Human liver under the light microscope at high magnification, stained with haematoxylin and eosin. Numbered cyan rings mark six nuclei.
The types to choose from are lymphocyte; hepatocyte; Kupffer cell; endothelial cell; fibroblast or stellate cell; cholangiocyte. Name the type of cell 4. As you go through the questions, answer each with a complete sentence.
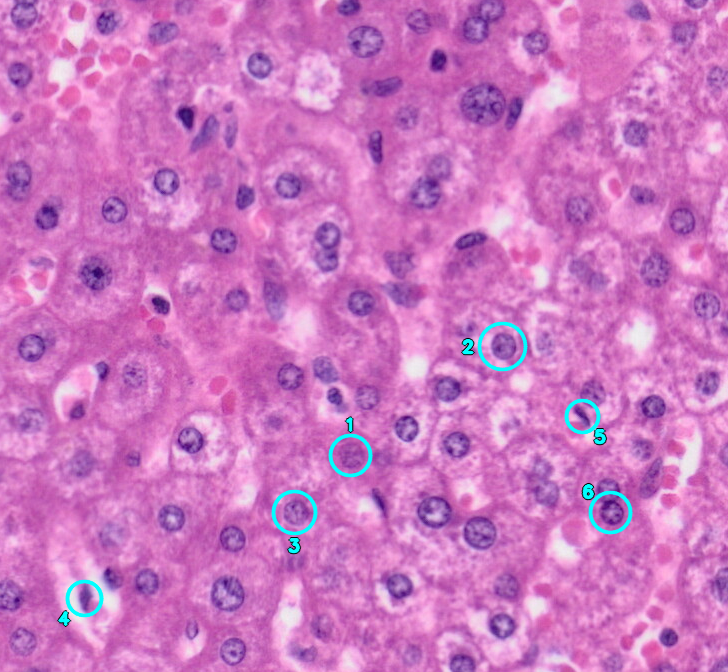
The cell indicated with the number 4 is classed as a Kupffer cell.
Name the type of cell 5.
The cell given label 5 is an endothelial cell.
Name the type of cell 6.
In the tissue shown, cell 6 is a hepatocyte.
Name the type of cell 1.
Cell 1 of the marked set is a hepatocyte.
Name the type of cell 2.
Cell number 2 in this section is a hepatocyte.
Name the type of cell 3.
The marked cell bearing number 3 is a hepatocyte.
